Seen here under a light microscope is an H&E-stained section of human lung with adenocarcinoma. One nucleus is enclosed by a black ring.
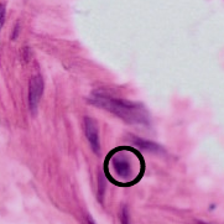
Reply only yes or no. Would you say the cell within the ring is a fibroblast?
no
